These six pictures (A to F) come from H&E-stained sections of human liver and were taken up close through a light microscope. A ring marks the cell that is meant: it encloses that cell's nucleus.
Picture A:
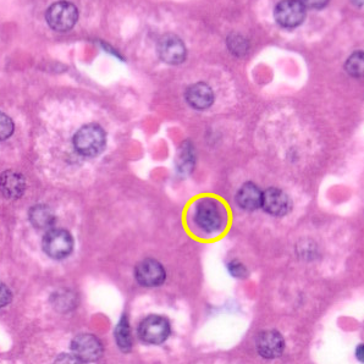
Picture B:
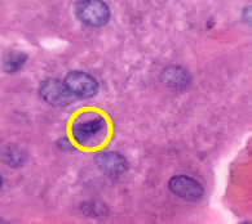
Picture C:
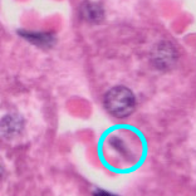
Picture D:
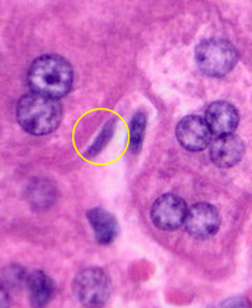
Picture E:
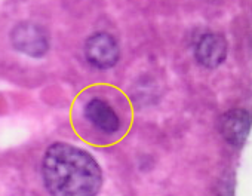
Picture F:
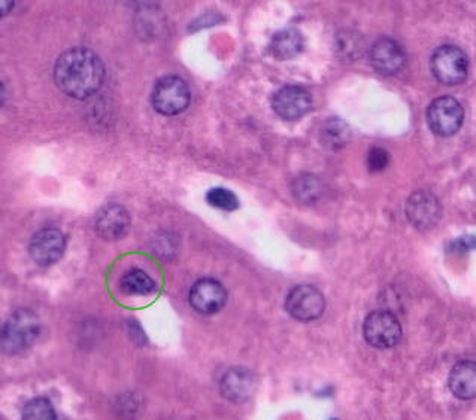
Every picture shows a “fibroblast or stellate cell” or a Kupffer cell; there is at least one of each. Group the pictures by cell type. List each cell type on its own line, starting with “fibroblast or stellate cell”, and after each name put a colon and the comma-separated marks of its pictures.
fibroblast or stellate cell: A, B, E, F
Kupffer cell: C, D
